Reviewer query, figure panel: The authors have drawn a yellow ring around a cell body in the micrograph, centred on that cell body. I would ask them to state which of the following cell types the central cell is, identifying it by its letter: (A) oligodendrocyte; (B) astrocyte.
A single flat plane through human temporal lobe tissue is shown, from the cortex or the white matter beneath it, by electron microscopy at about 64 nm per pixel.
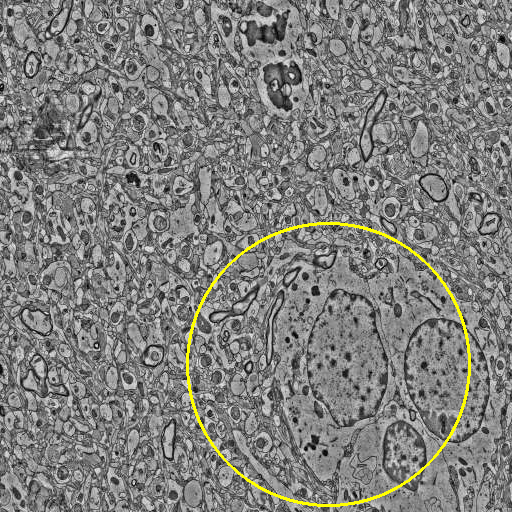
B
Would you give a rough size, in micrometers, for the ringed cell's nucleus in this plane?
About 9 by 5 micrometres, the nucleus being clearly longer than it is wide in this plane.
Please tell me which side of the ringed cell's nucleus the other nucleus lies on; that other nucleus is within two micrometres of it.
The other nucleus is situated to the right of it.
